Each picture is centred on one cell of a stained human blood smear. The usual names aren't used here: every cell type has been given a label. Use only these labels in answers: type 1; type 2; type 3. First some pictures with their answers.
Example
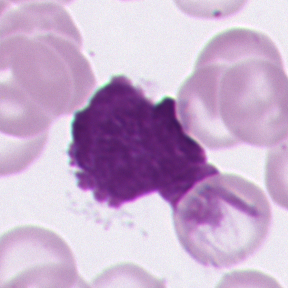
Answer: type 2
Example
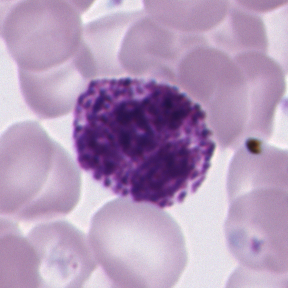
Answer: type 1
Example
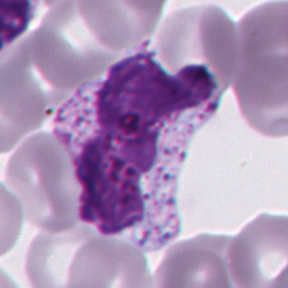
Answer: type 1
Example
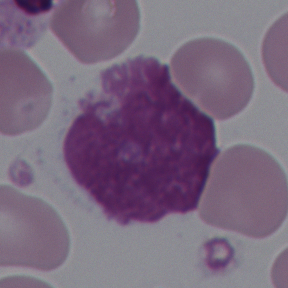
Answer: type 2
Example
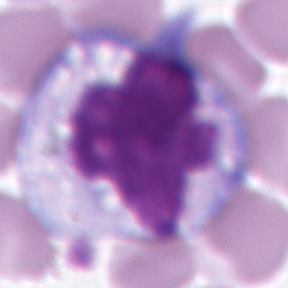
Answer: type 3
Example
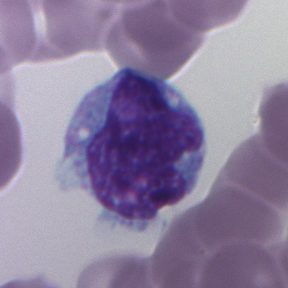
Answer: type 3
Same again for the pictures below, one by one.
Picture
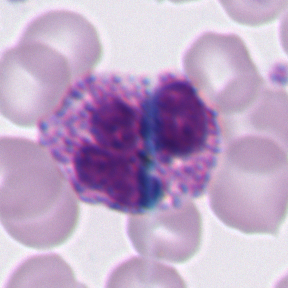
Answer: type 1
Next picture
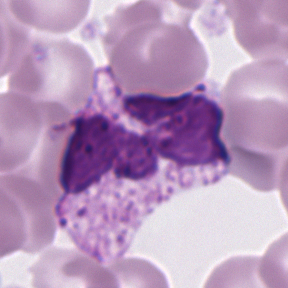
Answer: type 1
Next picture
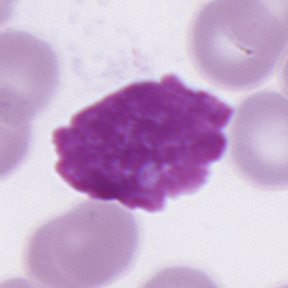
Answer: type 2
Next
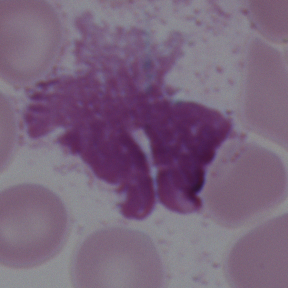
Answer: type 2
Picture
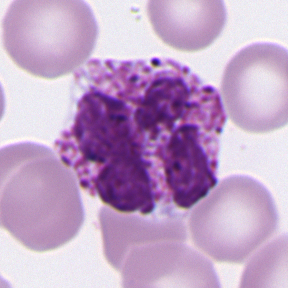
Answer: type 1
